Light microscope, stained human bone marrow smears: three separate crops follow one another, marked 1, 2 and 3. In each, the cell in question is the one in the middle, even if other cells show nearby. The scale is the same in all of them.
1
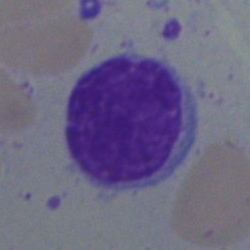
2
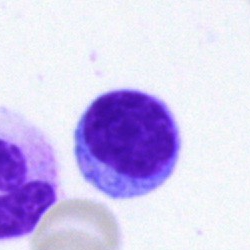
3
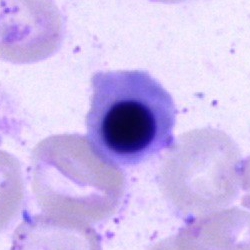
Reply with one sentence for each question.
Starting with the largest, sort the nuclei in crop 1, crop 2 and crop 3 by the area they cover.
The order is 1, 2, 3, beginning with the largest.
